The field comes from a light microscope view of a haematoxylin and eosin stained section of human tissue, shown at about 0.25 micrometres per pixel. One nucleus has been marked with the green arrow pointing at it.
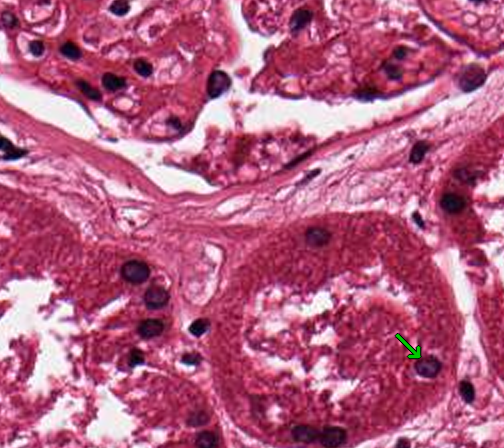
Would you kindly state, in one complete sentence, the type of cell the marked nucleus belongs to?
The nucleus that has been marked belongs to a proximal tubule cell.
